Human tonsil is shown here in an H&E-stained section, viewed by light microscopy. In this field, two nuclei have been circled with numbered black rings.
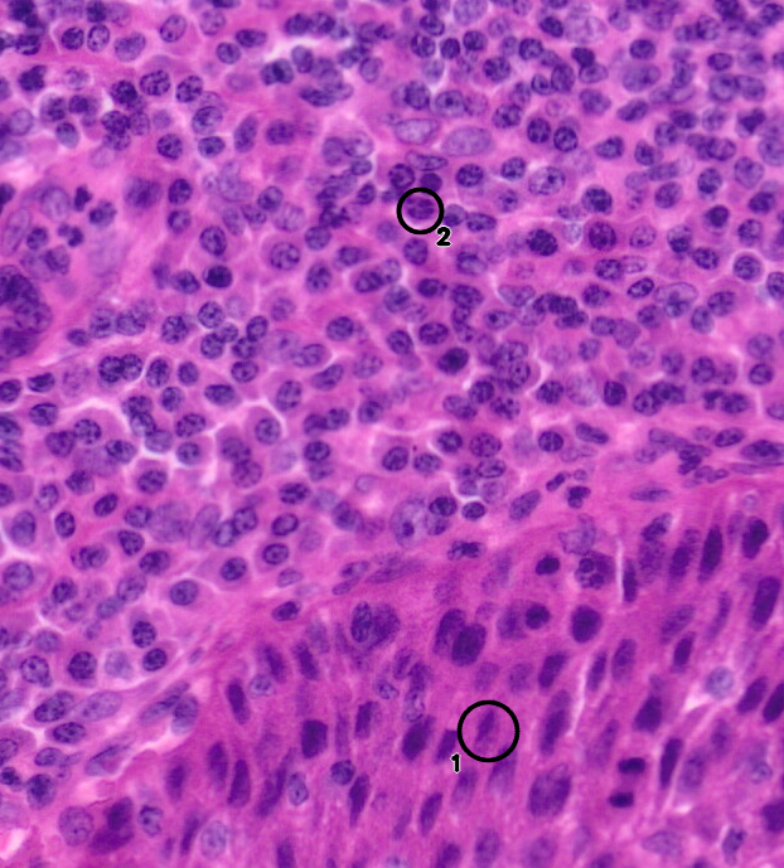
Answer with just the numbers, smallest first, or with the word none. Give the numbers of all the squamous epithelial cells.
1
